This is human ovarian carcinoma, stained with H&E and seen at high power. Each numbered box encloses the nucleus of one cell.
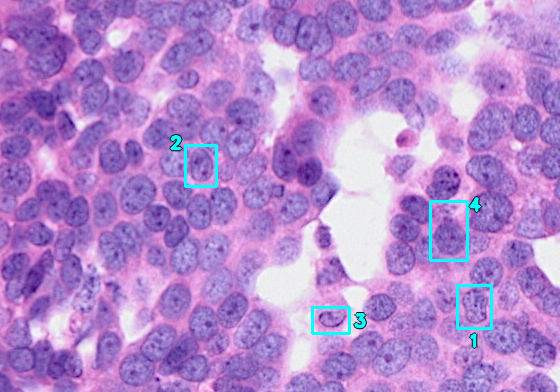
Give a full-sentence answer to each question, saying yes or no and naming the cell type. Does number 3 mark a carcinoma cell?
No, the marker 3 sits on a macrophage or monocyte, not on a carcinoma cell.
